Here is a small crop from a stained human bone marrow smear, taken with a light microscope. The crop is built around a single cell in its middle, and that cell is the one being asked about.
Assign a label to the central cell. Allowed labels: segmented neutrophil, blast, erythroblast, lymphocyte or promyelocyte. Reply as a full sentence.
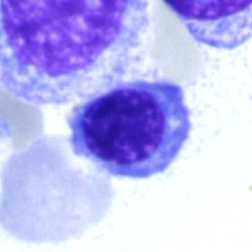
In the middle of this smear crop, the cell is an erythroblast.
